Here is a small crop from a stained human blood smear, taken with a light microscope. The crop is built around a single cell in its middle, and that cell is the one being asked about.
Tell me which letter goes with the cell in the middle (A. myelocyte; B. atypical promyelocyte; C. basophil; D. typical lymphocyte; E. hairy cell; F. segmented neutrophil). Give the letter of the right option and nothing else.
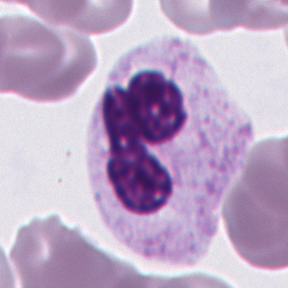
F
